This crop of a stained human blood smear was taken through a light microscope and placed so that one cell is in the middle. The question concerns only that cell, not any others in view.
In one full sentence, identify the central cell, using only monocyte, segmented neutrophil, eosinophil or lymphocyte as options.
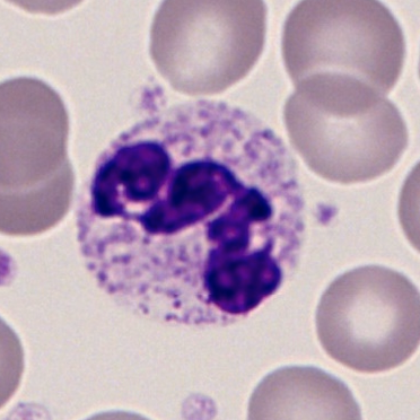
The cell at the middle of the frame should be recorded as a segmented neutrophil.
